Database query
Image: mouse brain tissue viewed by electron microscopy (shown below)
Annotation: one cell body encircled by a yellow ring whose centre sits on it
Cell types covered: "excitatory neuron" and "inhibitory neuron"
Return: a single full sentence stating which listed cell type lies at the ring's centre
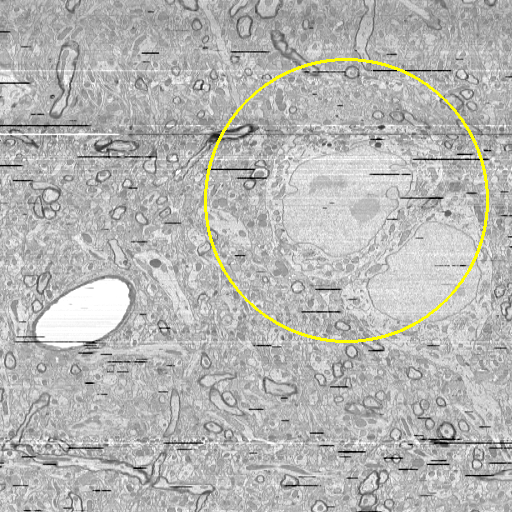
In the image, the cell lying at the ring's centre is an inhibitory neuron.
